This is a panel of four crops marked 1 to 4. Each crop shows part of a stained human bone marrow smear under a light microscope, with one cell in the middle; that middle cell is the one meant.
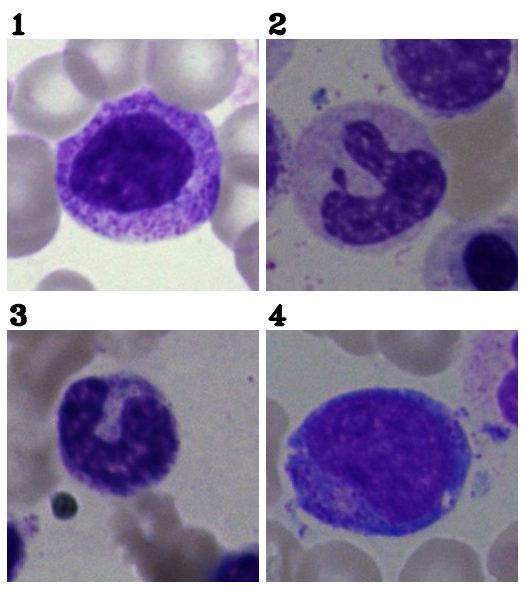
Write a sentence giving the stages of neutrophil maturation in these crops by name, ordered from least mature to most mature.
In terms of maturity, from least to most, the order is crop 4 (a promyelocyte), crop 1 (a myelocyte), crop 3 (a band neutrophil) and crop 2 (a segmented neutrophil).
